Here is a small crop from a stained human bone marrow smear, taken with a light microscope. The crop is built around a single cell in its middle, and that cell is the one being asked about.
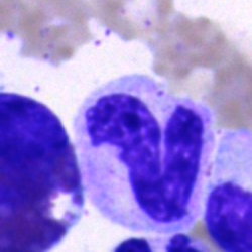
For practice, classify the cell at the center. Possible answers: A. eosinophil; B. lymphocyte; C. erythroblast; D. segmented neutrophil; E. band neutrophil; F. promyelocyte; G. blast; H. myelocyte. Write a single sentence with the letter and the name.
The cell in the middle is a band neutrophil, and that makes option E correct.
